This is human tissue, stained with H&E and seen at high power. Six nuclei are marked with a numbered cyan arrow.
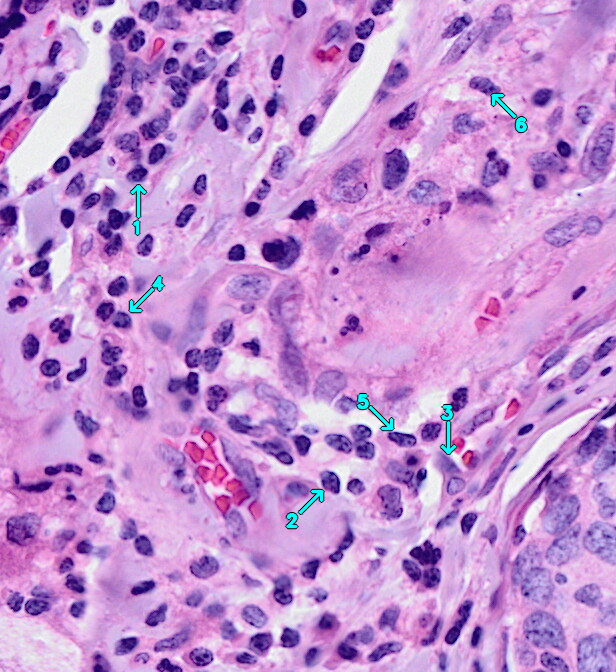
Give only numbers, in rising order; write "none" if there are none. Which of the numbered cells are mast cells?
6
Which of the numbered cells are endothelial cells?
3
